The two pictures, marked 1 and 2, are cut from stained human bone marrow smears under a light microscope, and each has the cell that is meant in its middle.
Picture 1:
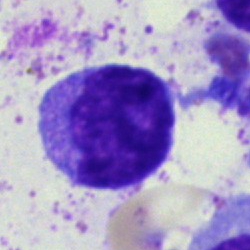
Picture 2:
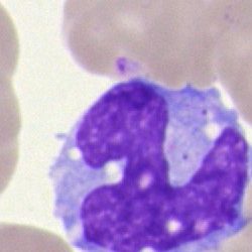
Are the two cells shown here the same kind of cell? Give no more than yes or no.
yes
